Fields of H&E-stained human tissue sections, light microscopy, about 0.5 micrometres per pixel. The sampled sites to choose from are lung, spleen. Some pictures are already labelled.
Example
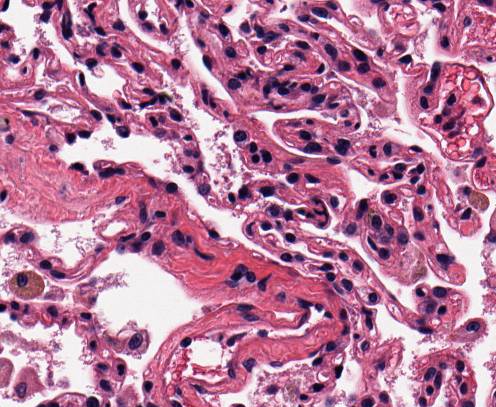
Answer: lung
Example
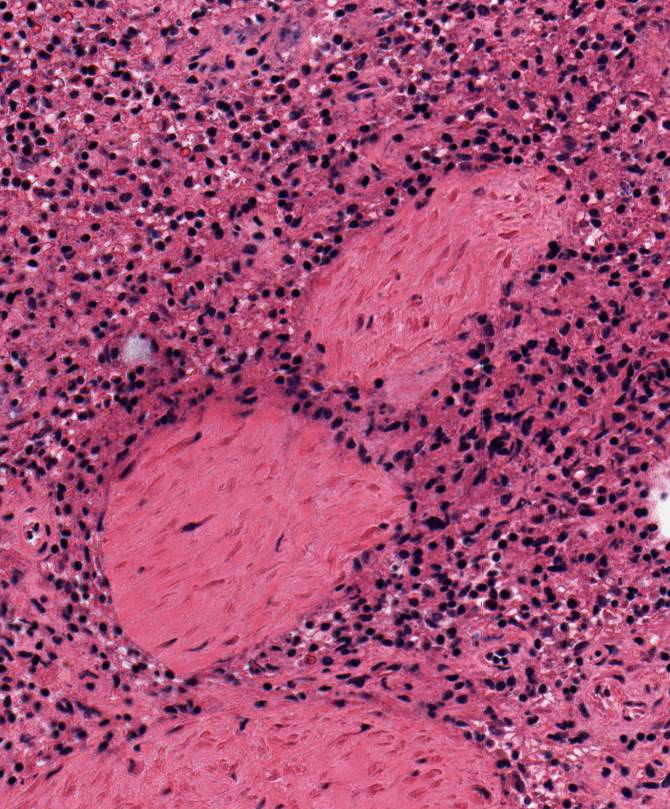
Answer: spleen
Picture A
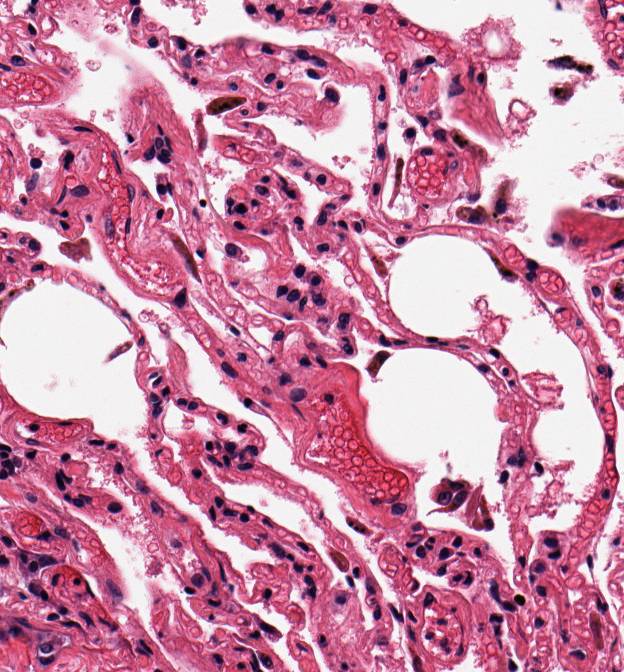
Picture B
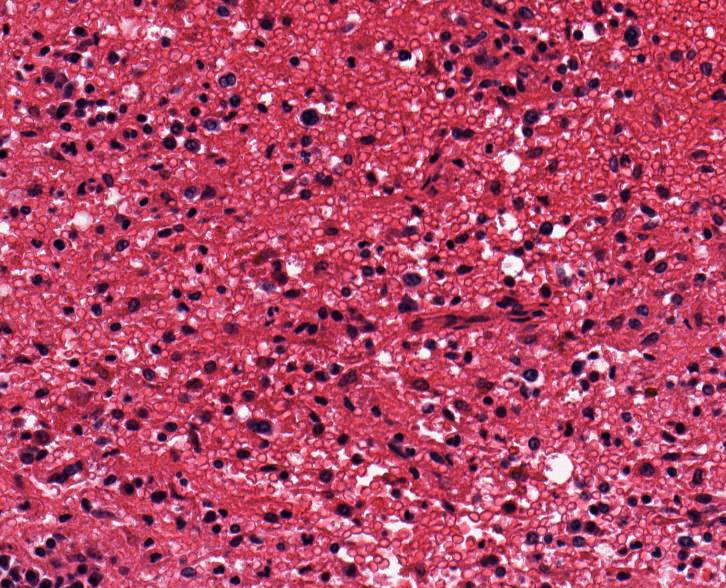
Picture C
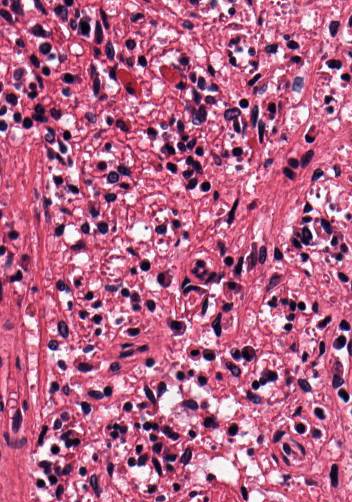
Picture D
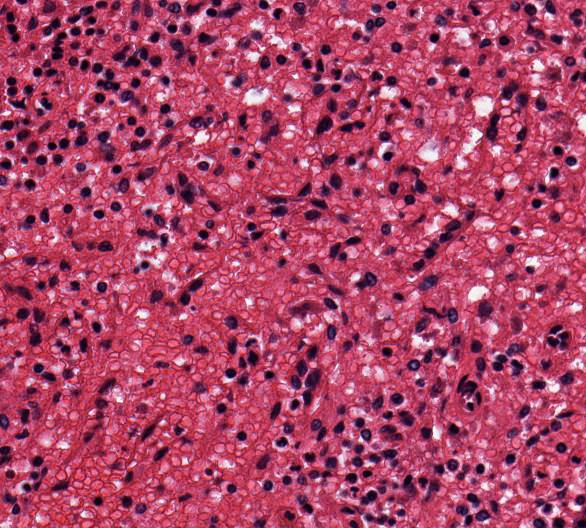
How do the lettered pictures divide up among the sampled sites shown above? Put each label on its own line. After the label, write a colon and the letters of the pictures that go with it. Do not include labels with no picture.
lung: A
spleen: B, C, D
